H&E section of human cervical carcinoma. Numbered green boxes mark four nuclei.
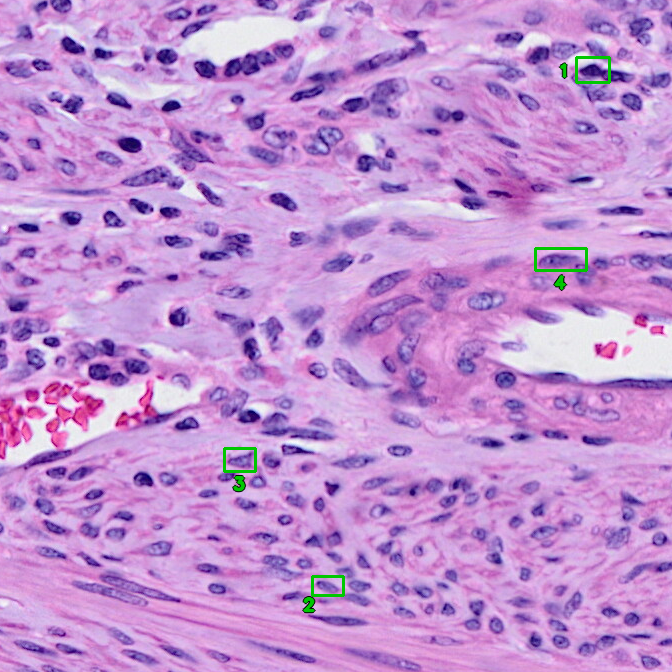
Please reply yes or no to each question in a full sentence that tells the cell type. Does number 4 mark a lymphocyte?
No, the cell denoted 4 is a smooth muscle cell rather than a lymphocyte.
